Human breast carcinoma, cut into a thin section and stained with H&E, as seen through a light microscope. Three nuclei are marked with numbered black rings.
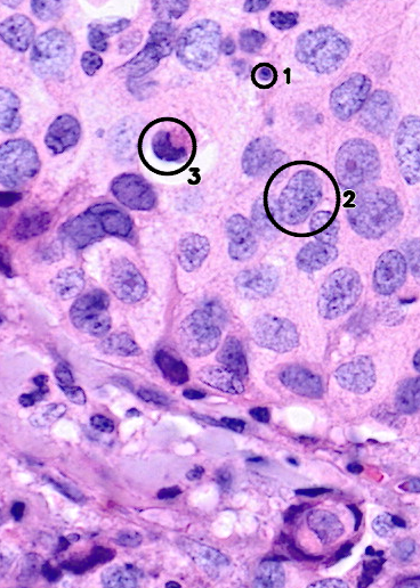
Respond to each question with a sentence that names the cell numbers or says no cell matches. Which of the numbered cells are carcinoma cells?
Identified as carcinoma cells are the cells numbered 2 and 3.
